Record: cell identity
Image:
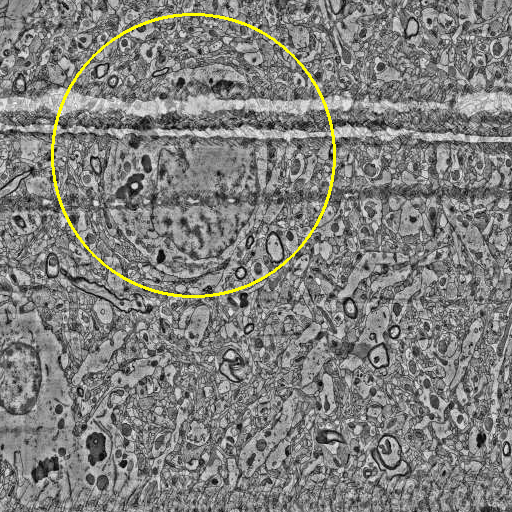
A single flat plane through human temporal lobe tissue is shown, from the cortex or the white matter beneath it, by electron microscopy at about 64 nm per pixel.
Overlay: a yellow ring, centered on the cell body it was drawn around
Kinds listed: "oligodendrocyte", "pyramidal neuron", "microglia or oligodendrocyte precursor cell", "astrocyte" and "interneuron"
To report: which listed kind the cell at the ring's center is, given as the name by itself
interneuron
